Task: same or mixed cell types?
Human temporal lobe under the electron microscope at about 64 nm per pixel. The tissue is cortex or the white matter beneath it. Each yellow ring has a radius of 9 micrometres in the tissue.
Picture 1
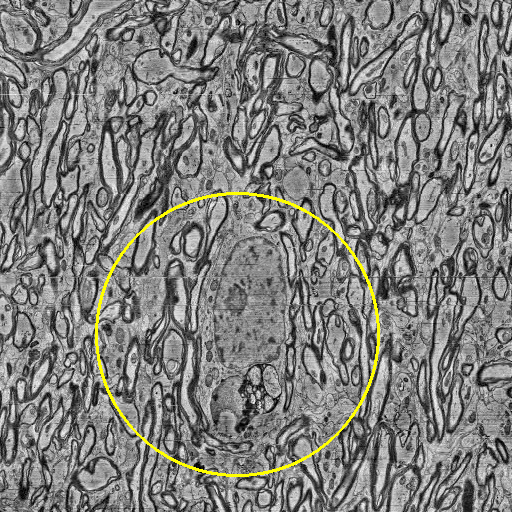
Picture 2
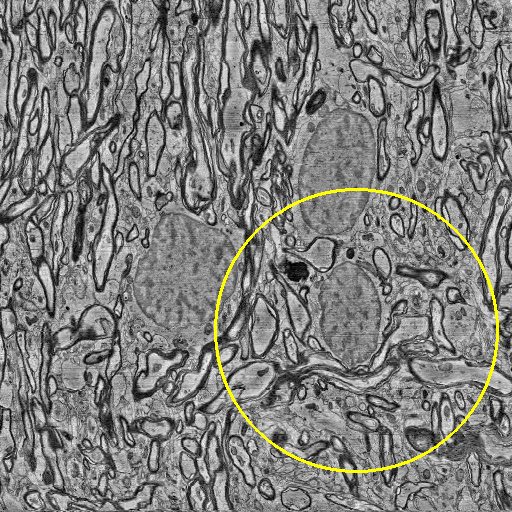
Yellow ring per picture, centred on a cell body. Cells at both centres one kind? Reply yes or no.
no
